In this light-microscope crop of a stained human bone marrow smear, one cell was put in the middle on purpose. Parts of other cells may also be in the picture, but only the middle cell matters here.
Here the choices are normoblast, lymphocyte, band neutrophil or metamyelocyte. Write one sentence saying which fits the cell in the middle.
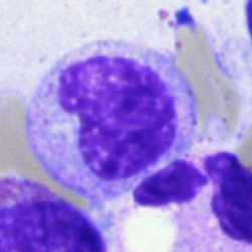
This crop's central cell is a metamyelocyte.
